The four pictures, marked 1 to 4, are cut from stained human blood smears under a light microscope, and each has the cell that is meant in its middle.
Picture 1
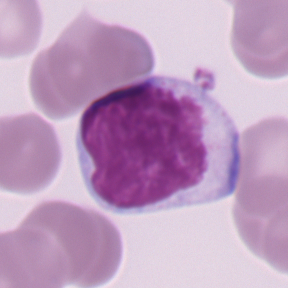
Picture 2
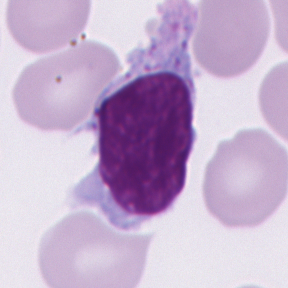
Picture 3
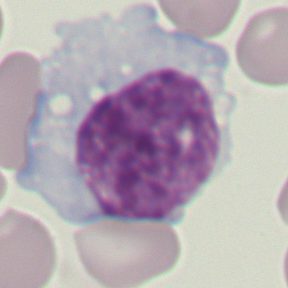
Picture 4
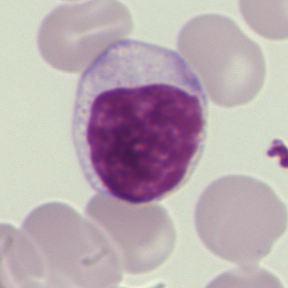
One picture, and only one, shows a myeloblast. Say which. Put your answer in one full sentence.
The cell in picture 3 is the myeloblast.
